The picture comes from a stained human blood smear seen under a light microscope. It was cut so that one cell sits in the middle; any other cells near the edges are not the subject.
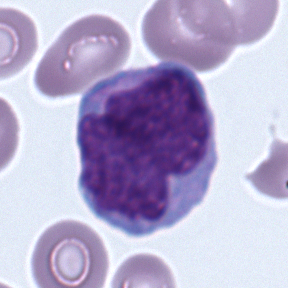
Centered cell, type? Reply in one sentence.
For this crop, the cell in the middle is an atypical promyelocyte.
